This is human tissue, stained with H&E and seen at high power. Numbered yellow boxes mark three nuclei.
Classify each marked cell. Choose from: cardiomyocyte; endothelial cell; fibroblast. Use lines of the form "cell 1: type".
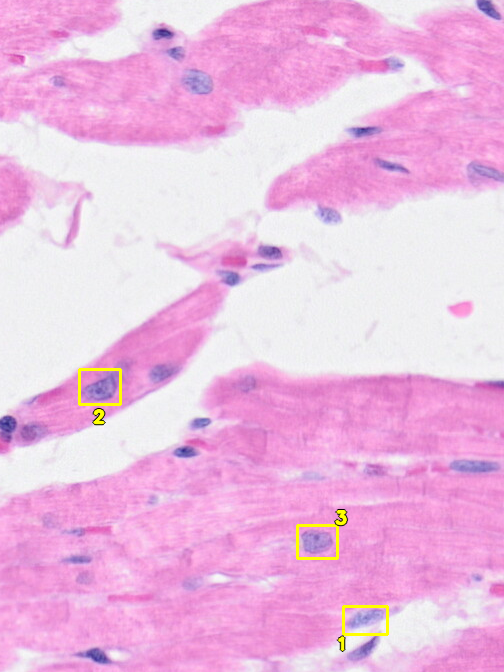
cell 1: fibroblast
cell 2: cardiomyocyte
cell 3: cardiomyocyte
